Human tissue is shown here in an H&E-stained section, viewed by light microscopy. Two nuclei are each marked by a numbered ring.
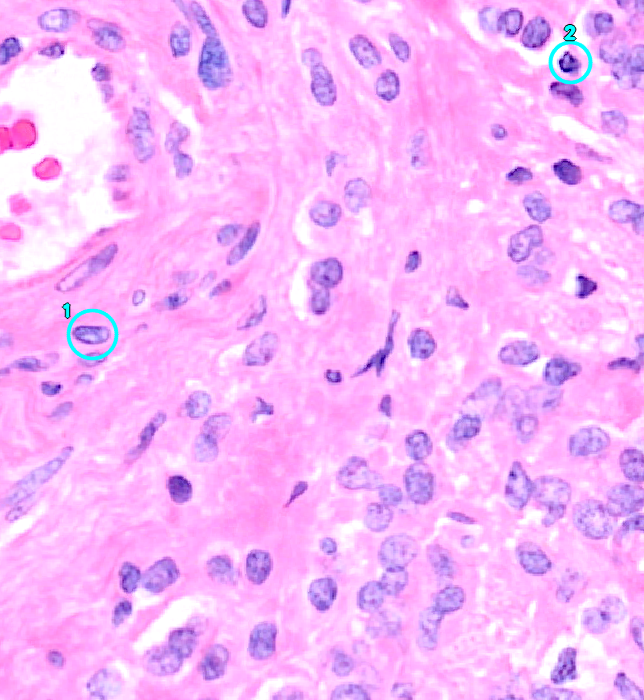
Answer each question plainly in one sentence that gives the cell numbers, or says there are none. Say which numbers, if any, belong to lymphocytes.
Only at number 2 is there a lymphocyte.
